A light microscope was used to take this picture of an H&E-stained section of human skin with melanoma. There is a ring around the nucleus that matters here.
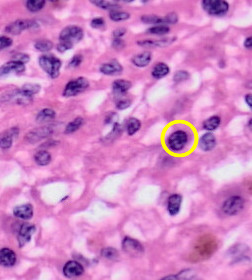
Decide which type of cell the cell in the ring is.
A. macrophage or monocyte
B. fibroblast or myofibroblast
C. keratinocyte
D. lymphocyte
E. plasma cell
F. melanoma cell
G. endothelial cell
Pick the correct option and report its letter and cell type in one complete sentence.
Since the cell in the ring is a plasma cell, option E is correct.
